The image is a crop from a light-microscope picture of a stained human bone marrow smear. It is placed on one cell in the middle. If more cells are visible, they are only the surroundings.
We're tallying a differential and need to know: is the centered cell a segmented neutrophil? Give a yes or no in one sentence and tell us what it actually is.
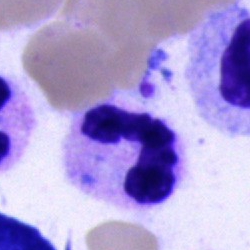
Yes, the cell found at the centre of the crop is a segmented neutrophil.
